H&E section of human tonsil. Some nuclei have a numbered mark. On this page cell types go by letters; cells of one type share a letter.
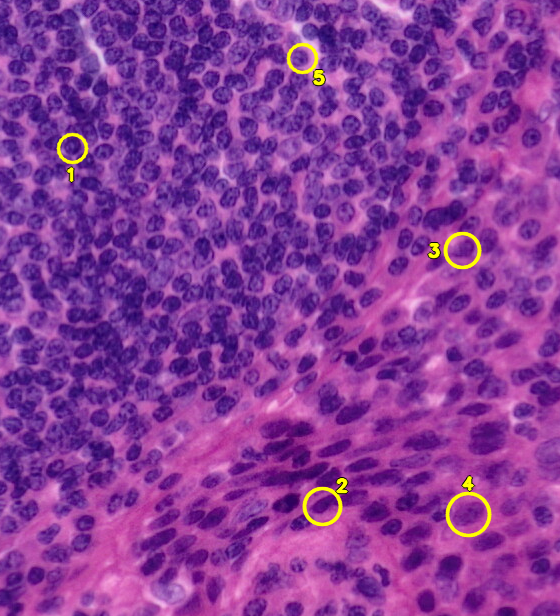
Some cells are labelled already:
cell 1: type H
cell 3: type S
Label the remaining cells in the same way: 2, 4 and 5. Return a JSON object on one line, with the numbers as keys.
{"2": "type S", "4": "type S", "5": "type H"}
